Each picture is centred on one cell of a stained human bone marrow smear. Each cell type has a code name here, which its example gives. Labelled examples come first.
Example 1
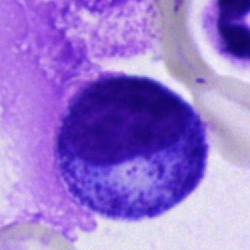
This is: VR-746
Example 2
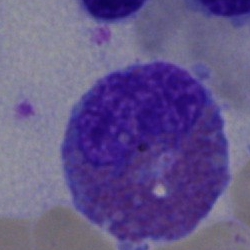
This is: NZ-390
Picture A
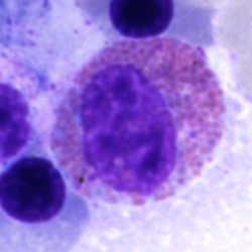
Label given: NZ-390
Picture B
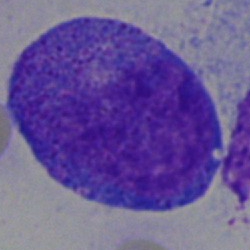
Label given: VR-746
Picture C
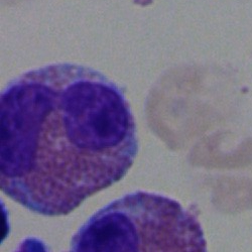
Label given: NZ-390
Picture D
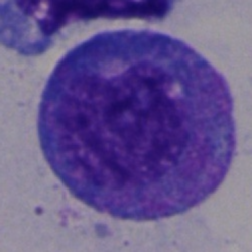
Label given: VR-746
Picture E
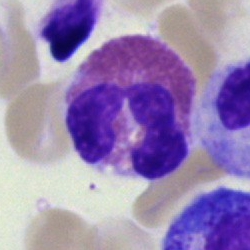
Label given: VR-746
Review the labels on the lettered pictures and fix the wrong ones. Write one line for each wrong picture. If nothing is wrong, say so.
E is labelled VR-746; correct label: NZ-390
